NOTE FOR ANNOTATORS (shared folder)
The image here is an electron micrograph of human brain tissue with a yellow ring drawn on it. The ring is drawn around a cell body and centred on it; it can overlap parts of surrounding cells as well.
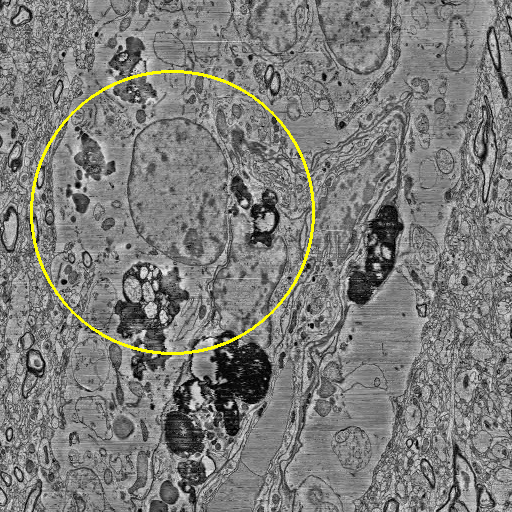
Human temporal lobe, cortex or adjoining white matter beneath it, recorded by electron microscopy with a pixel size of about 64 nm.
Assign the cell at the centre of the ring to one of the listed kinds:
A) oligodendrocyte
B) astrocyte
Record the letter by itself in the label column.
B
